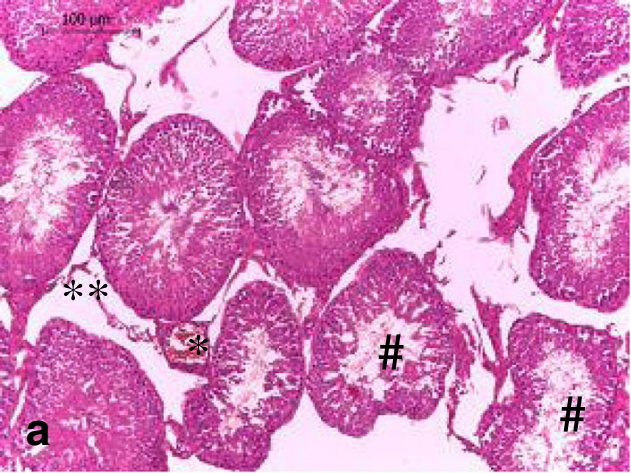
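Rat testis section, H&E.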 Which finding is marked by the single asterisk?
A: Congestion of blood vessels.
